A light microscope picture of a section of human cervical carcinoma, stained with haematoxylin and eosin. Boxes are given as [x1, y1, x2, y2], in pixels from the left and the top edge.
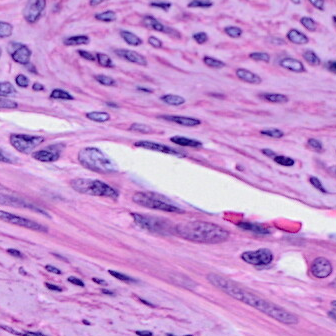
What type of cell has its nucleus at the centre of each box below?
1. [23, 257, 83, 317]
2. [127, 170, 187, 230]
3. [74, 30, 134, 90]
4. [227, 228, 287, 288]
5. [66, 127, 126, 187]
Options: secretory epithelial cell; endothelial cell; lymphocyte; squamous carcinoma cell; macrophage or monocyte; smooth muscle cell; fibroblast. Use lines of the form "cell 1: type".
cell 1: smooth muscle cell
cell 2: endothelial cell
cell 3: smooth muscle cell
cell 4: lymphocyte
cell 5: endothelial cell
